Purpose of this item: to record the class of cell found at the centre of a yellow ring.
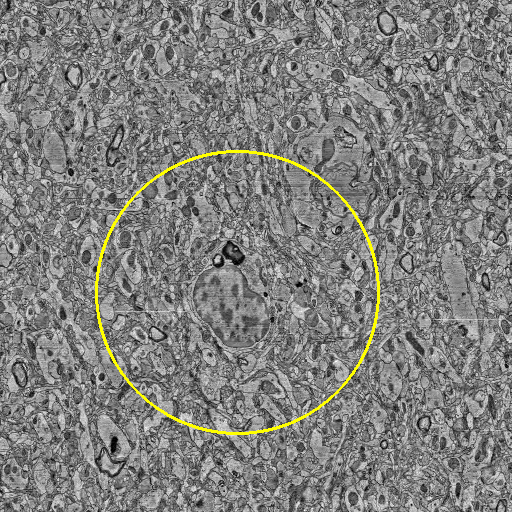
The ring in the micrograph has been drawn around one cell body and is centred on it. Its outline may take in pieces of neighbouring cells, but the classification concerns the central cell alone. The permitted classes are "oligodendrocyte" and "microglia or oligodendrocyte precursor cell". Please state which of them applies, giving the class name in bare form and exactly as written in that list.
microglia or oligodendrocyte precursor cell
